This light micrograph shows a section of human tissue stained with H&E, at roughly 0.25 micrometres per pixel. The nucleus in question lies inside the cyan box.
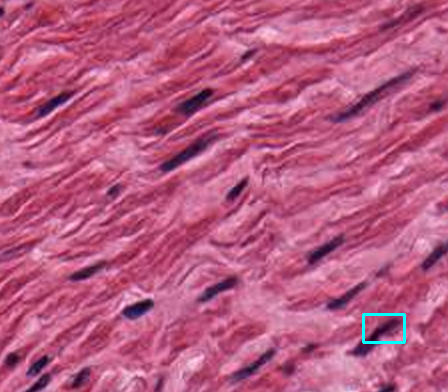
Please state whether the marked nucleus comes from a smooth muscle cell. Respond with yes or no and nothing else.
yes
